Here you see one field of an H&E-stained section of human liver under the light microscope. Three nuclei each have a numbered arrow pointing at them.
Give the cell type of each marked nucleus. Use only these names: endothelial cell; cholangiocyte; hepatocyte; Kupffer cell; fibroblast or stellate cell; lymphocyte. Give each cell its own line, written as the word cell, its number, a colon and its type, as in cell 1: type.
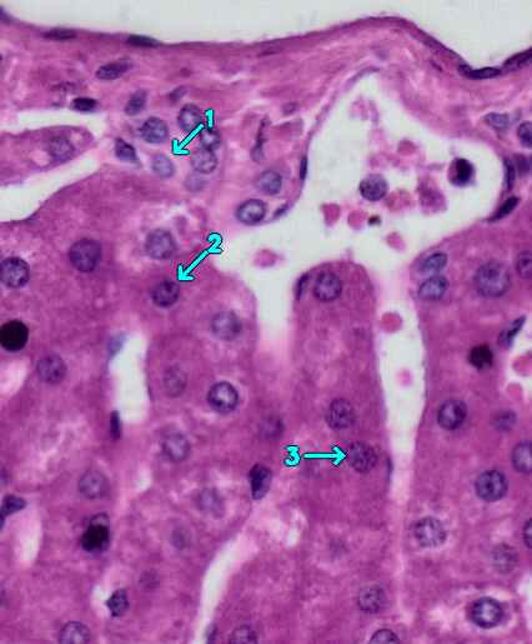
cell 1: cholangiocyte
cell 2: hepatocyte
cell 3: hepatocyte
